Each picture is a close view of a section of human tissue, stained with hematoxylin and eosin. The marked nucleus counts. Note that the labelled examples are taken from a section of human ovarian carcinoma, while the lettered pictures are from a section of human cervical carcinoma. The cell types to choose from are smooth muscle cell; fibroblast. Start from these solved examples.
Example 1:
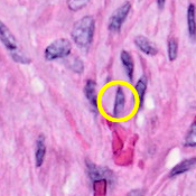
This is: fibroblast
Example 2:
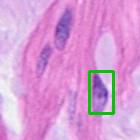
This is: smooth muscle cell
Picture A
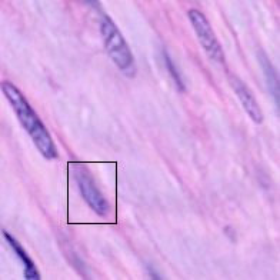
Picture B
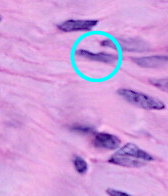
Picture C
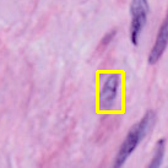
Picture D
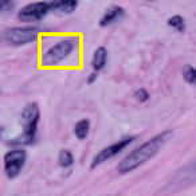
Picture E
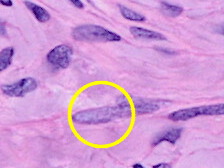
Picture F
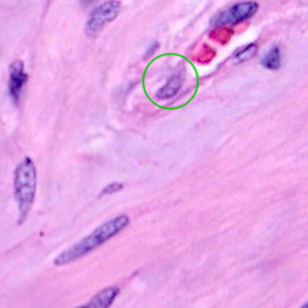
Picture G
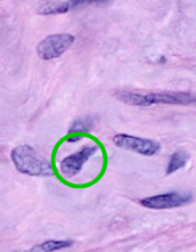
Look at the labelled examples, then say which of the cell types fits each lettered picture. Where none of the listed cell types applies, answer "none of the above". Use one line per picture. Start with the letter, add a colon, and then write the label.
A: smooth muscle cell
B: fibroblast
C: smooth muscle cell
D: smooth muscle cell
E: smooth muscle cell
F: none of the above
G: fibroblast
